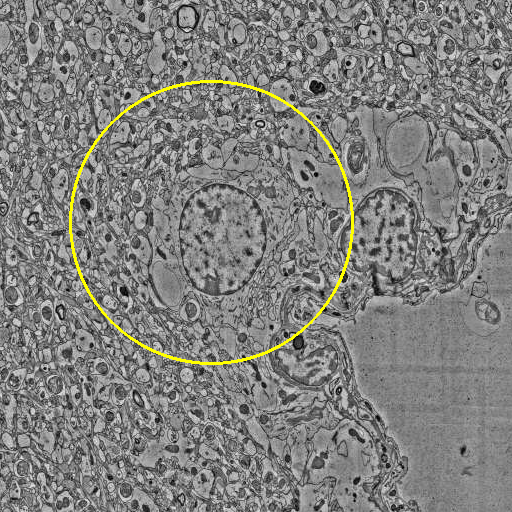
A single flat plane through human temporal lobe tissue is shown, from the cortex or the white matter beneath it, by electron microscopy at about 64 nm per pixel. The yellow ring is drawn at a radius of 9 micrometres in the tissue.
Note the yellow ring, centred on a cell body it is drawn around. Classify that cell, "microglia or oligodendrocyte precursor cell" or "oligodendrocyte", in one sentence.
The cell the ring is centred on is a microglial cell or oligodendrocyte precursor cell.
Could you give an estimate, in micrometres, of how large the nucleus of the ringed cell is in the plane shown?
In this plane the nucleus measures roughly 7 by 6 micrometers.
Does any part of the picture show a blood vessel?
Yes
